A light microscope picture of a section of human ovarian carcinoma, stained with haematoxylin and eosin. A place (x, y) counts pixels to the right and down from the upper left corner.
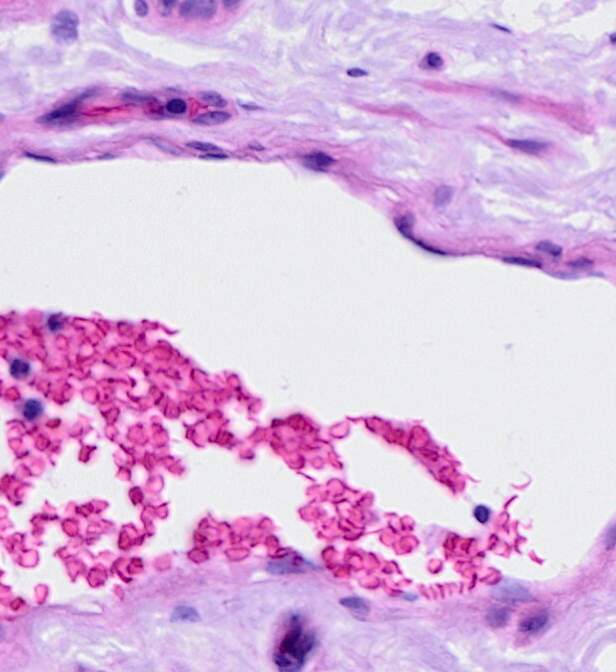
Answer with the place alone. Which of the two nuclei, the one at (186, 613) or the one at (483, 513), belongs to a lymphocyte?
(483, 513)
